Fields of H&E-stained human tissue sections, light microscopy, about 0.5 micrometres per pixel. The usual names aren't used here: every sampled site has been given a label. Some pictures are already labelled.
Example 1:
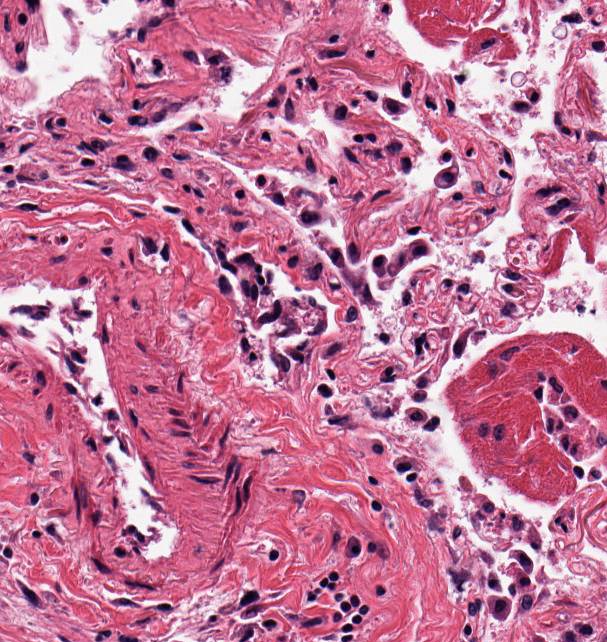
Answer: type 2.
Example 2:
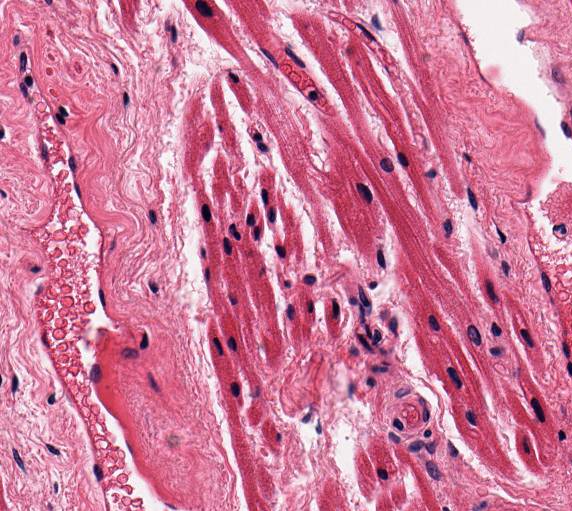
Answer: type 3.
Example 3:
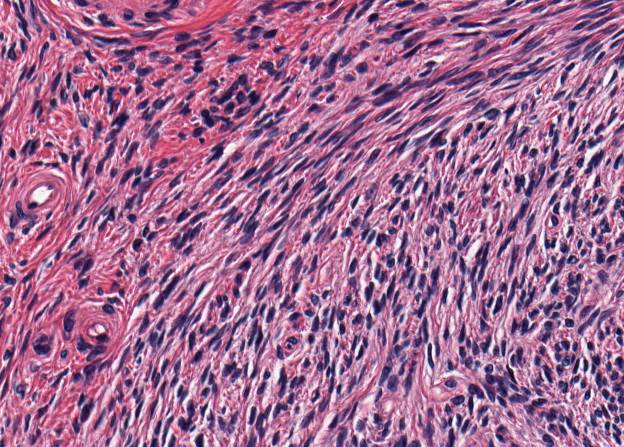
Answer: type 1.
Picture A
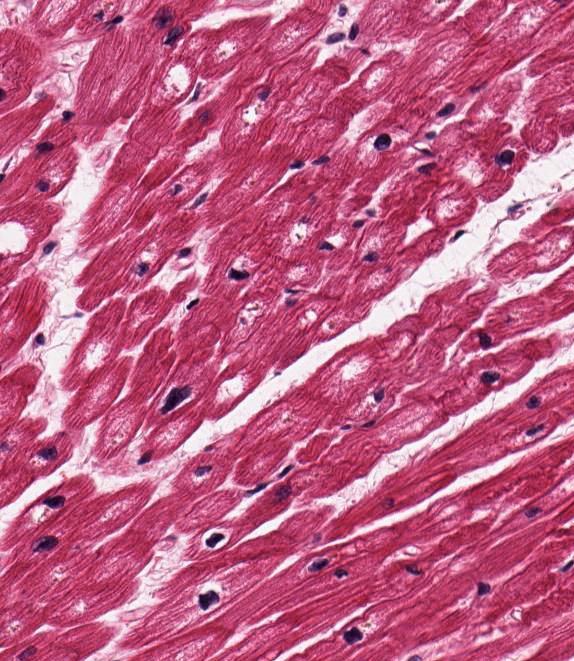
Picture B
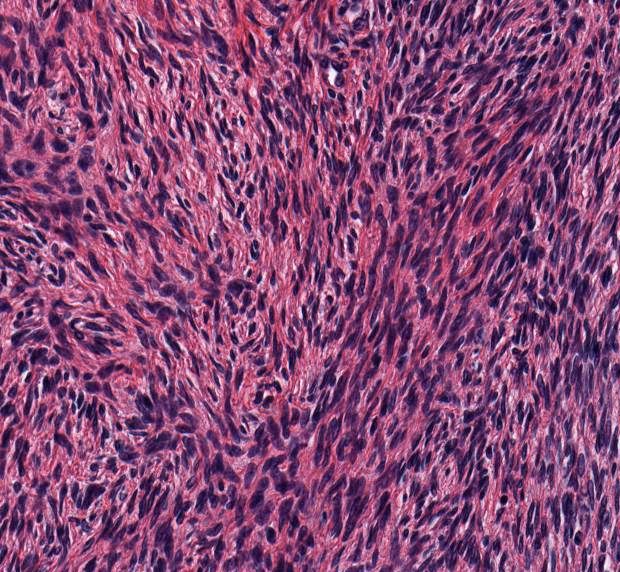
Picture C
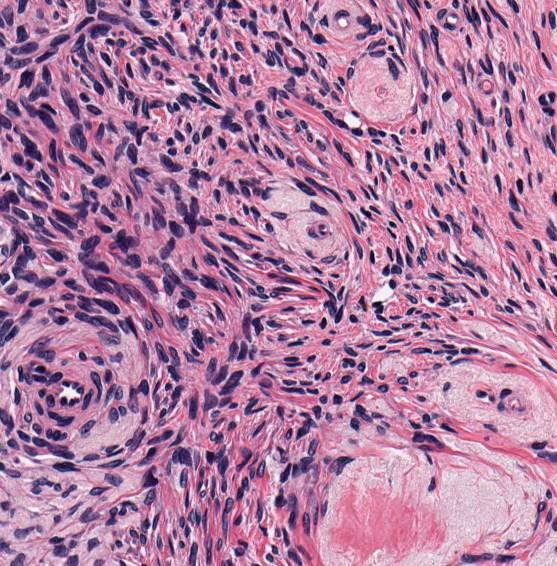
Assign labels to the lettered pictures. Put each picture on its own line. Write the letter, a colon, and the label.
A: type 3.
B: type 1.
C: type 1.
